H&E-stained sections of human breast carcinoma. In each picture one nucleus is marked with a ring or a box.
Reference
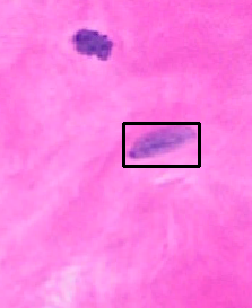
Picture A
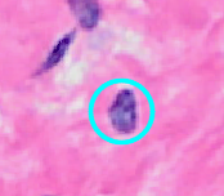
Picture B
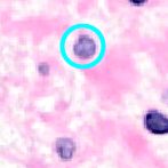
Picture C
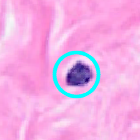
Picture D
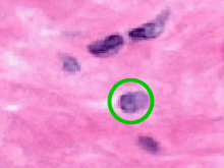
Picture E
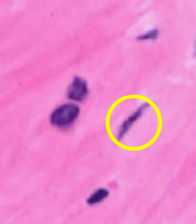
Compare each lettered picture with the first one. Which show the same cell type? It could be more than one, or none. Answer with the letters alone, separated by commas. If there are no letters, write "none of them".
E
